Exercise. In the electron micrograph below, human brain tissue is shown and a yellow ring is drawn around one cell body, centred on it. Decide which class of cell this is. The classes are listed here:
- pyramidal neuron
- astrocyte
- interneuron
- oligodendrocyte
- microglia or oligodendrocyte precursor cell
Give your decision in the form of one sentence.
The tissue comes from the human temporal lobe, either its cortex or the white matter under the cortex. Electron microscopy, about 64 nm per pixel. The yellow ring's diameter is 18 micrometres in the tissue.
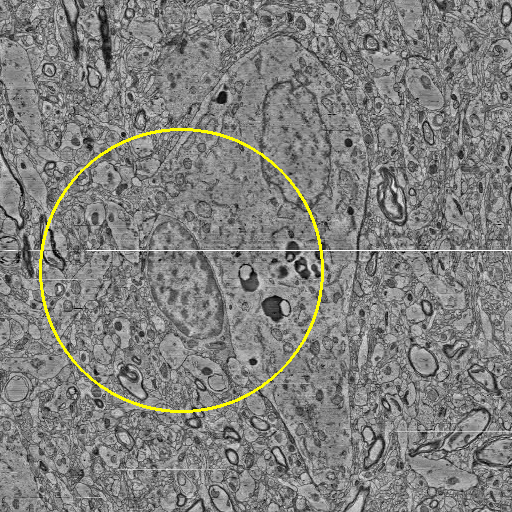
The cell body marked by the ring belongs to an oligodendrocyte.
